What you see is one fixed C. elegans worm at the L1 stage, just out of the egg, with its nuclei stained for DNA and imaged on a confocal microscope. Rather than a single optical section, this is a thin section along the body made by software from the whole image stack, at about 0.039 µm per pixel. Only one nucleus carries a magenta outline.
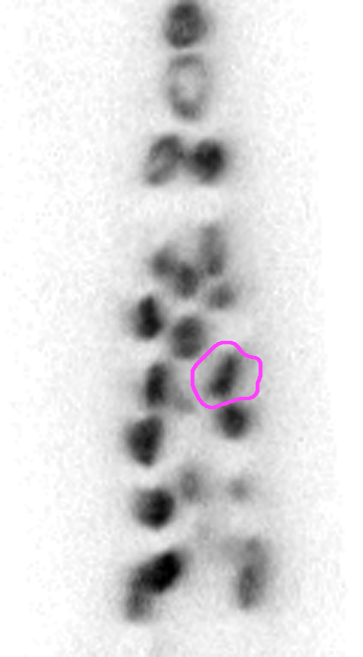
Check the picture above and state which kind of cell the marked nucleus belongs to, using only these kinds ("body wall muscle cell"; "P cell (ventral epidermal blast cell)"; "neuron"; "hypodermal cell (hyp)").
neuron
